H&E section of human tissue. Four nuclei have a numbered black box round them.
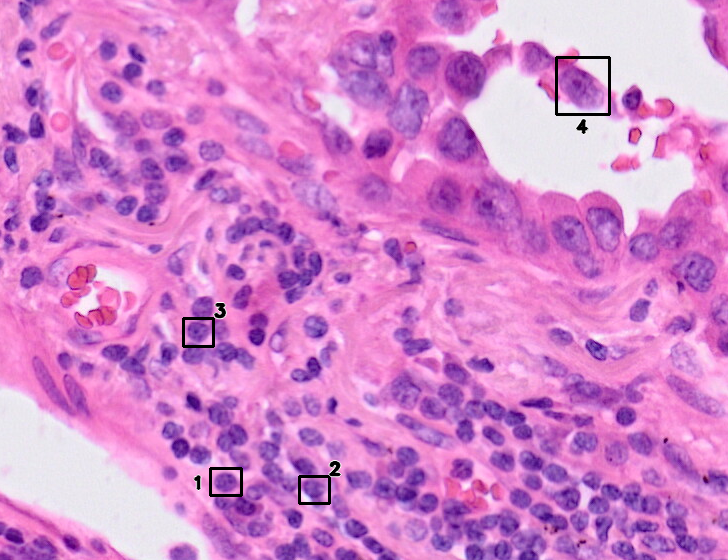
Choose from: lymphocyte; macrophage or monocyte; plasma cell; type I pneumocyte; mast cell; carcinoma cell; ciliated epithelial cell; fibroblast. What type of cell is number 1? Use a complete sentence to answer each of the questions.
The numeral 1 marks a lymphocyte in this section.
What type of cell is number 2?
The cell identified by number 2 is a lymphocyte.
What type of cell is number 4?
As for number 4, that cell is a carcinoma cell.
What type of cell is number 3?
Among the marked nuclei, number 3 belongs to a lymphocyte.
